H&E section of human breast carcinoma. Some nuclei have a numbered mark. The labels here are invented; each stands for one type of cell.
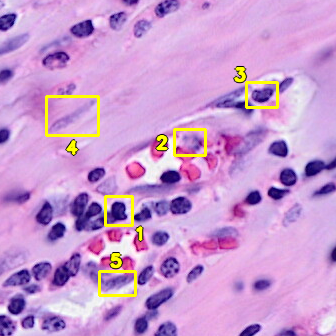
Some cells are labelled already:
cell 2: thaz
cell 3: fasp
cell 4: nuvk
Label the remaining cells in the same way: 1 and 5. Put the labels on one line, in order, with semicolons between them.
fasp; thaz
